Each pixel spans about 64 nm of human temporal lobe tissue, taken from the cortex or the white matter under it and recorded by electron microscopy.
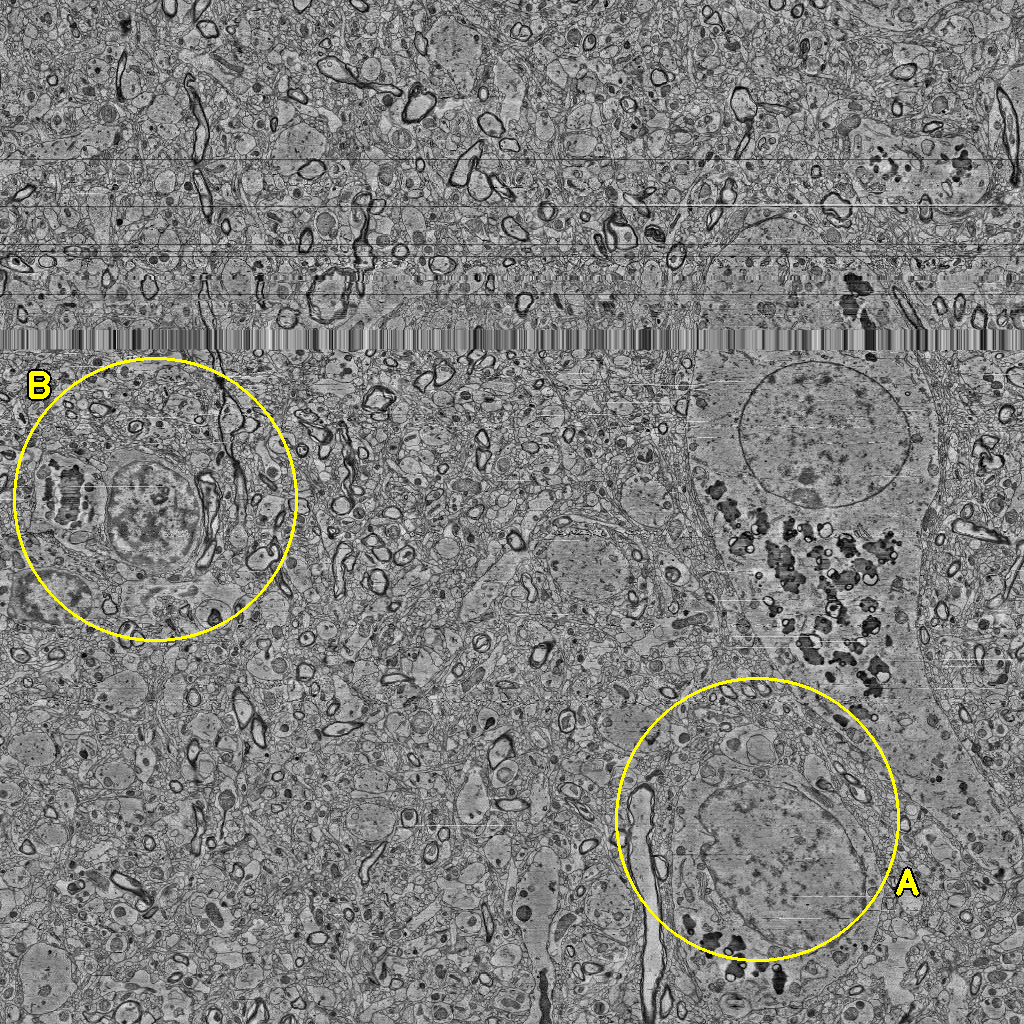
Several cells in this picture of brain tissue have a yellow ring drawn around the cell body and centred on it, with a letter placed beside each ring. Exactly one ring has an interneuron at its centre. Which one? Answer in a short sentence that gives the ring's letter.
Ring A is centred on it.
